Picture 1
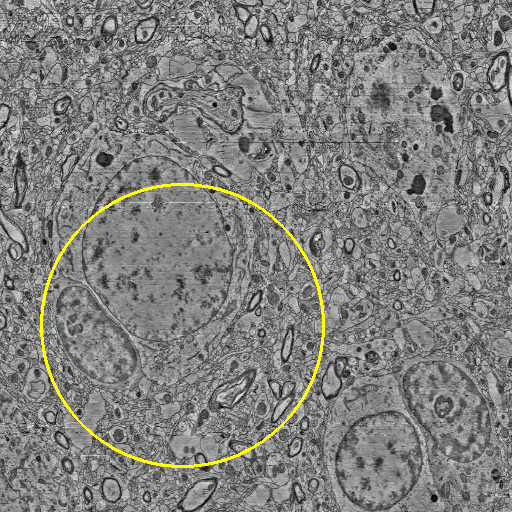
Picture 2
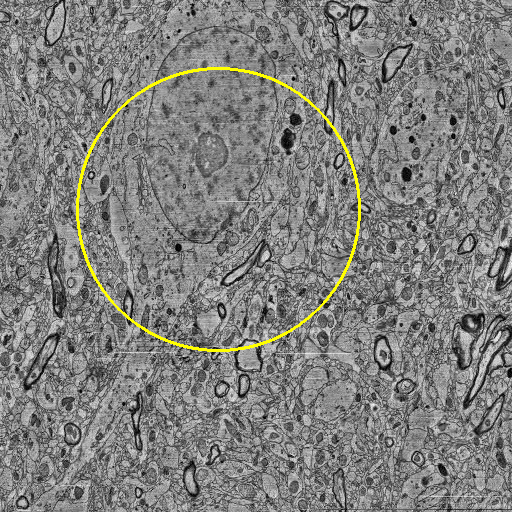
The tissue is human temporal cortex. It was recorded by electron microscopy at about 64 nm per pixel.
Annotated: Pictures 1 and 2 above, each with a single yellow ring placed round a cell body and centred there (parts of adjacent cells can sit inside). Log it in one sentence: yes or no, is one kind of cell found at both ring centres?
Yes, the ring centres of the two pictures hold cells of one kind.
